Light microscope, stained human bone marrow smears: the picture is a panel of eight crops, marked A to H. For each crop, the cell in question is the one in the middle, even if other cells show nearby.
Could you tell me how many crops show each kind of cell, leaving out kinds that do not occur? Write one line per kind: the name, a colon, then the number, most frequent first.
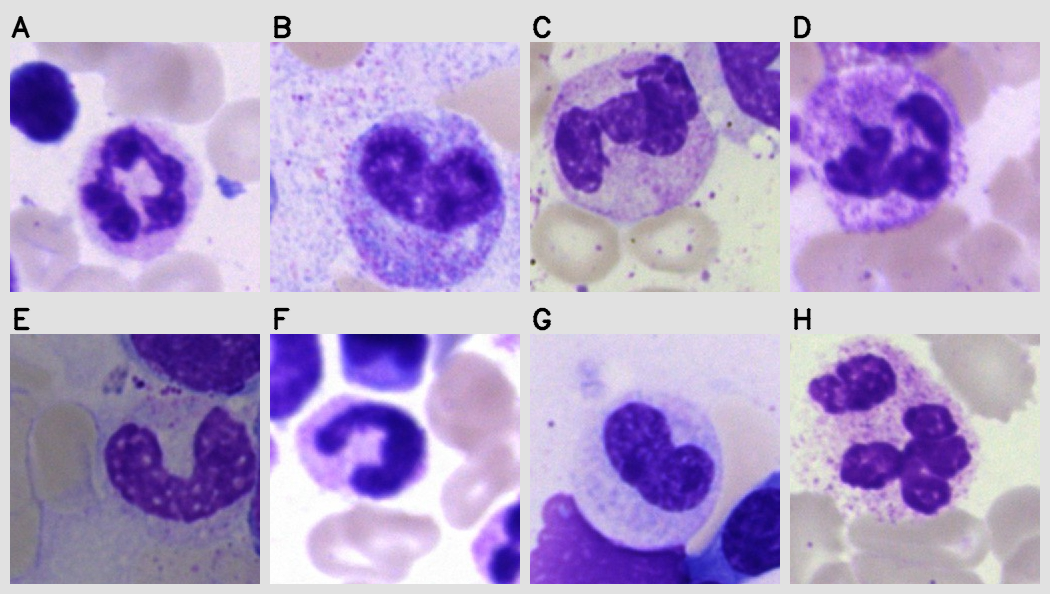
segmented neutrophil: 6
metamyelocyte: 2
